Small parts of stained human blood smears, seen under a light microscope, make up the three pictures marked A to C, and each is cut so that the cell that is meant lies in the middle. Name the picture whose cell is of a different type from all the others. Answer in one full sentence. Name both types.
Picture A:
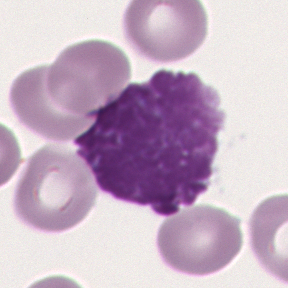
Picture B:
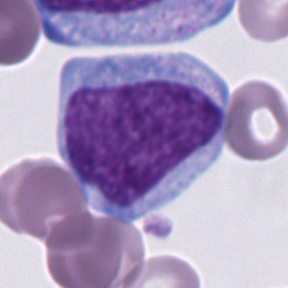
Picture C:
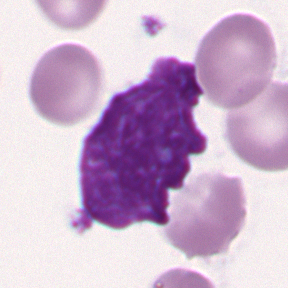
Picture B is the odd one out: it shows a promyelocyte, while the others show smudge cells.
